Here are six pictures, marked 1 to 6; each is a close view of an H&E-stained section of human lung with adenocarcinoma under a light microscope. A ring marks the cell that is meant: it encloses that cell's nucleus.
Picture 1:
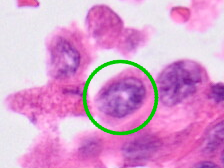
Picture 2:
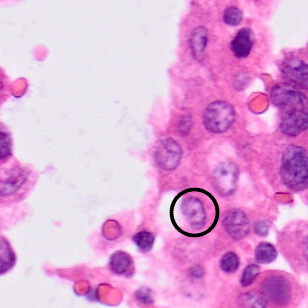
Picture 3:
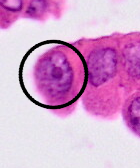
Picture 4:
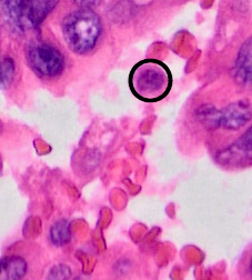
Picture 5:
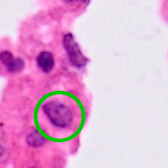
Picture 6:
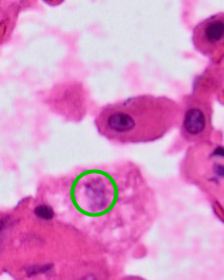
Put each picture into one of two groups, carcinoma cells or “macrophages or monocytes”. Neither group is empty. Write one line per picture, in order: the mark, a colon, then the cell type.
1: carcinoma cell
2: macrophage or monocyte
3: carcinoma cell
4: macrophage or monocyte
5: macrophage or monocyte
6: macrophage or monocyte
